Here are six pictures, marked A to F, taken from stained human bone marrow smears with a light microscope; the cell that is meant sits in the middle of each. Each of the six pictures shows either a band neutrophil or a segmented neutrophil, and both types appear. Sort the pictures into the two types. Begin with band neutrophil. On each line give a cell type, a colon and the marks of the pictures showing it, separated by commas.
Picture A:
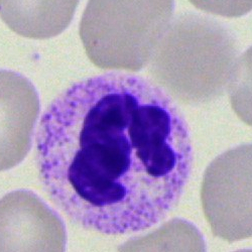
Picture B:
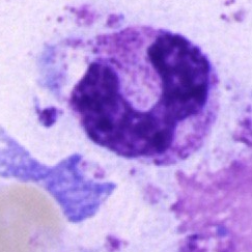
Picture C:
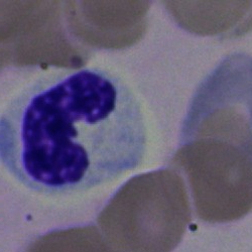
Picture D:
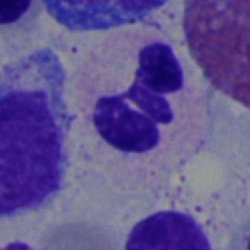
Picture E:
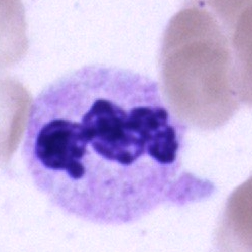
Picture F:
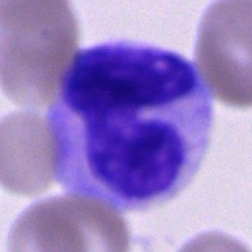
band neutrophil: B, F
segmented neutrophil: A, C, D, E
